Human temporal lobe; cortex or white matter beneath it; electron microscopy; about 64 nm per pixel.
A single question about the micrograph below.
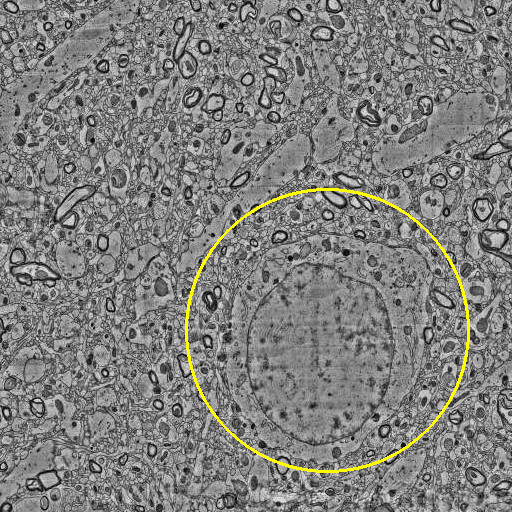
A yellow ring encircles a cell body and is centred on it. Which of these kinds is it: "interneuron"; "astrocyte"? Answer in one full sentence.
The cell body at the centre of the yellow ring belongs to an interneuron.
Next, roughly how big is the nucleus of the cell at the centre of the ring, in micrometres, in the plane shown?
About 12 by 9 micrometres in this plane.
